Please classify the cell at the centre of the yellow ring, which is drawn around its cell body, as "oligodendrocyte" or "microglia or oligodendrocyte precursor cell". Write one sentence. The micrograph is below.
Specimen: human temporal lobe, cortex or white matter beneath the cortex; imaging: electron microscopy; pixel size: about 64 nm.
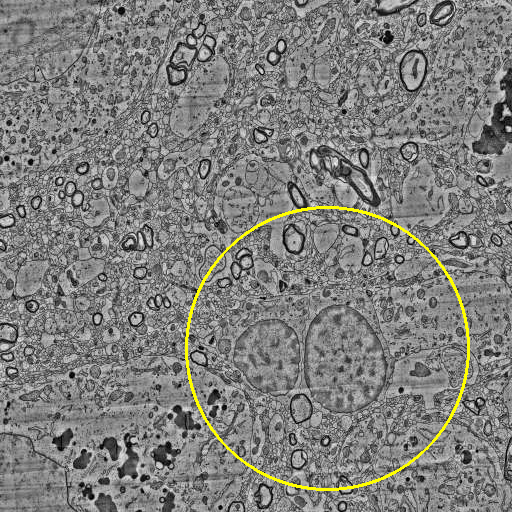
The cell at the ring's centre is classified as an oligodendrocyte.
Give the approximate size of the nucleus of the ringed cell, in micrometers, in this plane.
Approximately 7 x 5 micrometres in this plane.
